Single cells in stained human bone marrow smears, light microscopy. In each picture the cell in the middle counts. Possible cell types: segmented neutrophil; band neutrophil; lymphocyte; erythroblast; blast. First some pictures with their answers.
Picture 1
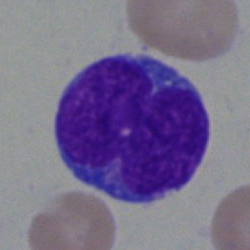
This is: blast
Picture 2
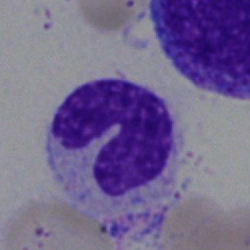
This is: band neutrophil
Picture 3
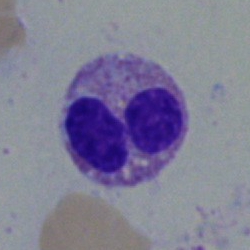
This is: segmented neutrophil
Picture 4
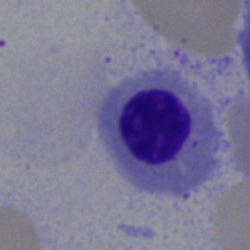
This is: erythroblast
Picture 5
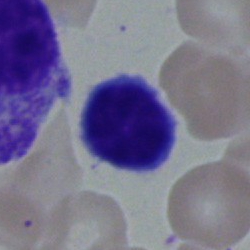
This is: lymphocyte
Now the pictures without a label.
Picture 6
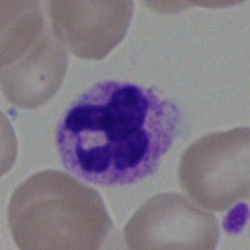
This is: segmented neutrophil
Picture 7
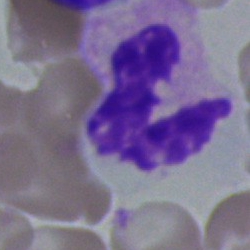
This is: segmented neutrophil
